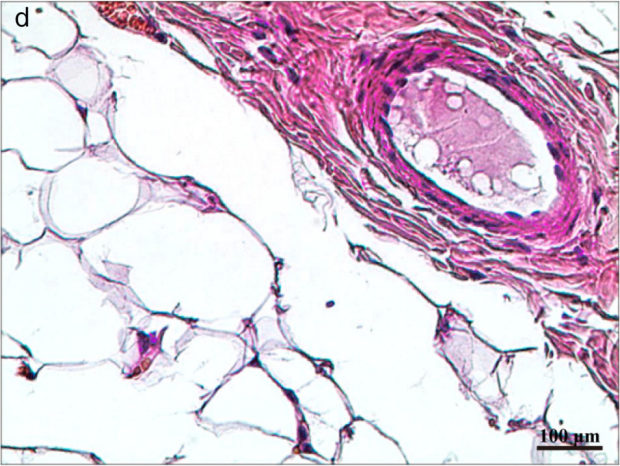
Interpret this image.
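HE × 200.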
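Here we look at fatty tissue beside a small vessel at high magnification. On the left lie large adipocytes, each an empty, clear space outlined by a thin pink membrane, with a few flattened nuclei squeezed at the edges. On the right runs a band of pink fibrous tissue with spindle-shaped, dark nuclei. Within it sits a vessel with a thick, concentric wall of pink layers and elongated nuclei. Its lumen is not empty but filled with pale pink, smooth material holding round clear vacuoles. The nuclei in the wall look uniform, without enlarged or bizarre forms.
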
